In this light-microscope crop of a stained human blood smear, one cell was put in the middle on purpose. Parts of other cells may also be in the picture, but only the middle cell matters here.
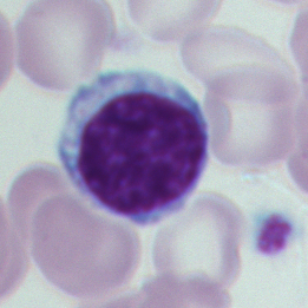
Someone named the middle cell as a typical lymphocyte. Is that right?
yes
